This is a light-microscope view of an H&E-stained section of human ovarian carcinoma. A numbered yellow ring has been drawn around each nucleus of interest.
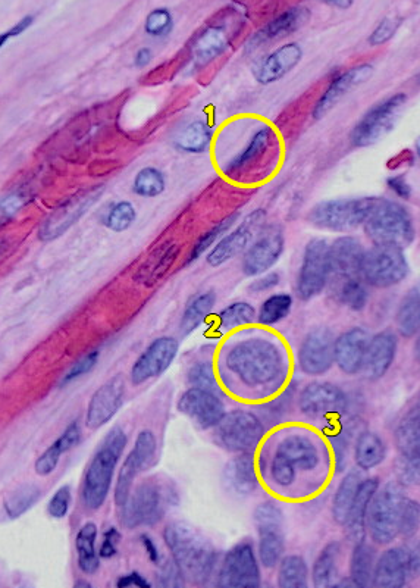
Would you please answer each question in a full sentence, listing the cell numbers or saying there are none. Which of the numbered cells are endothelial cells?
Only at number 1 is there an endothelial cell among the marked cells.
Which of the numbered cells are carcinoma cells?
Only one marked cell, number 2, is a carcinoma cell.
